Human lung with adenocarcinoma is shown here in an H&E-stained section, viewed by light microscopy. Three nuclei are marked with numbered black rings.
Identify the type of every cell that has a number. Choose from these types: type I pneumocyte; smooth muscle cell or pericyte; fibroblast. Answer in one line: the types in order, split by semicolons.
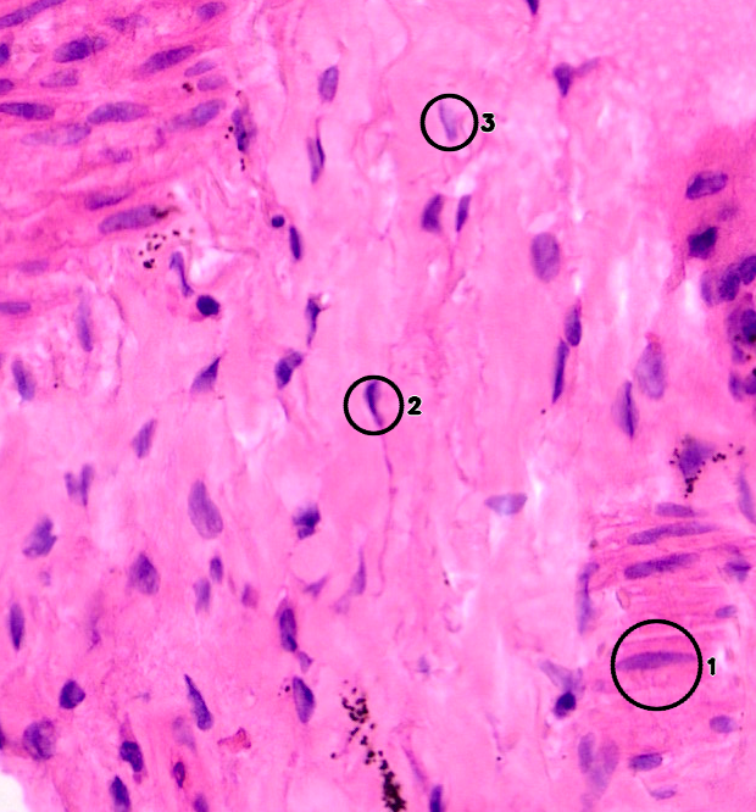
smooth muscle cell or pericyte; fibroblast; fibroblast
